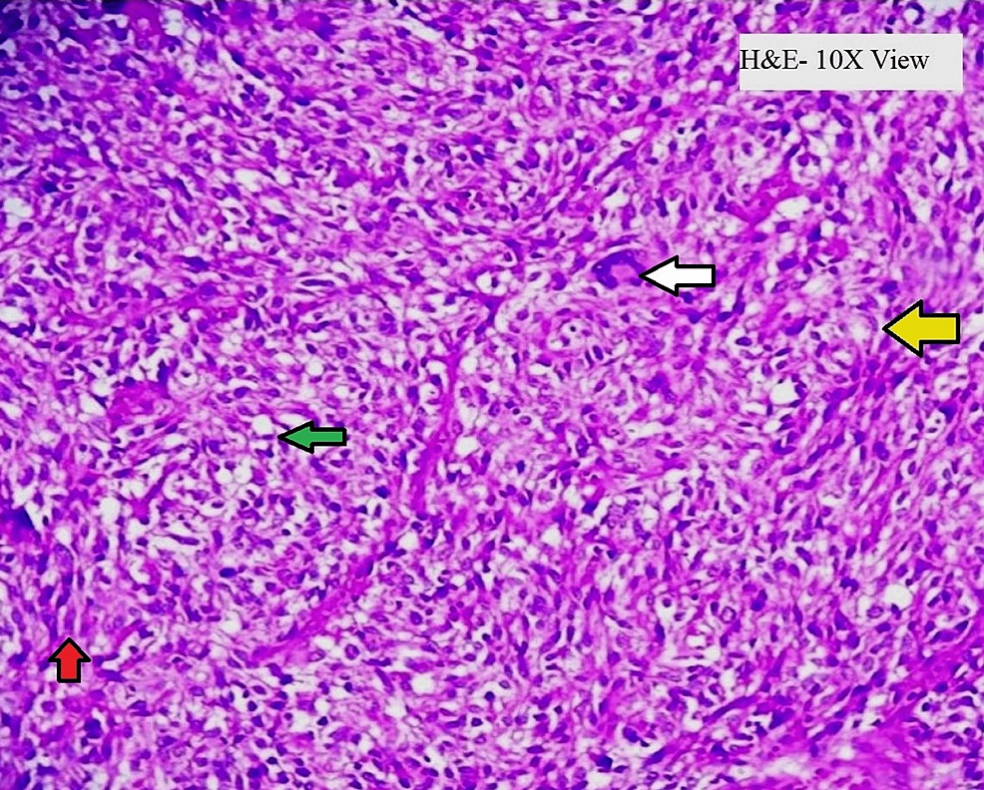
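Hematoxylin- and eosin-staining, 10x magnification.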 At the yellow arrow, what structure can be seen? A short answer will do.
Whorl pattern.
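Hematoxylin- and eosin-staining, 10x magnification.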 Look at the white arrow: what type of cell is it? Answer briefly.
Multinucleated tumor giant cells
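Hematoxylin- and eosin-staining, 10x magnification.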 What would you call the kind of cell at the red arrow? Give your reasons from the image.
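Cells near the red arrow have elongated, tapered nuclei. These cells lie in streaming, parallel arrays. That points to this answer: spindle cells.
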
